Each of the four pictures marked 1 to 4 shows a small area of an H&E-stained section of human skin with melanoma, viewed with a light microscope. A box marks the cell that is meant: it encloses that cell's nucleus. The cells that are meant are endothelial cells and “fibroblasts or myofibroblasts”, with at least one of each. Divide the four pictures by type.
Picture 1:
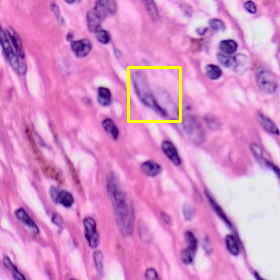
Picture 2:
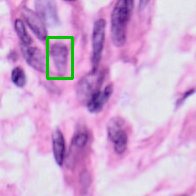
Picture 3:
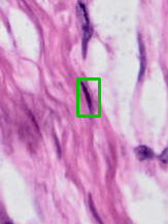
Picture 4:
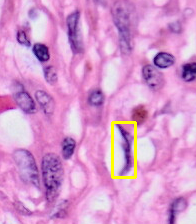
1: endothelial cell
2: endothelial cell
3: fibroblast or myofibroblast
4: fibroblast or myofibroblast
